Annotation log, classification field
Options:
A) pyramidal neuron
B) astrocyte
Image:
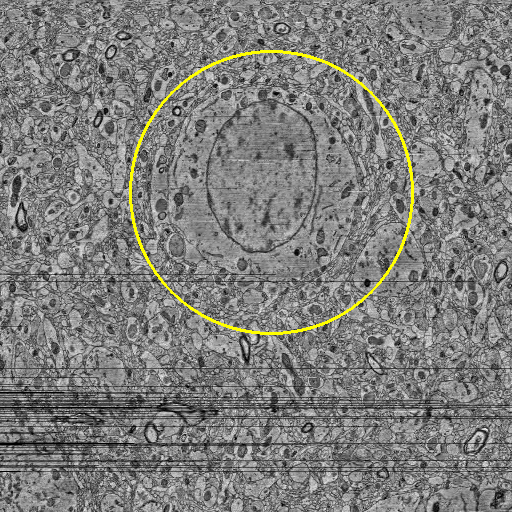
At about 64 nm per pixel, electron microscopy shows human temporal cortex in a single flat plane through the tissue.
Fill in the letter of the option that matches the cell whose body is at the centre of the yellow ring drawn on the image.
A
